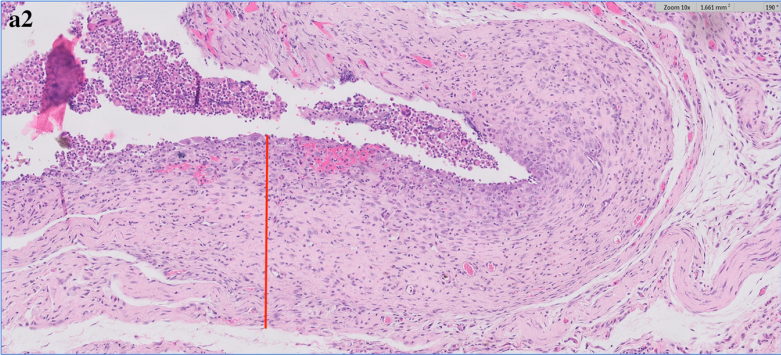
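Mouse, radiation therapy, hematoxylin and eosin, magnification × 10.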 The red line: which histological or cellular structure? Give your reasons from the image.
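The red line runs straight across a dense pink band of tissue, from its inner surface to its outer edge. The band is packed with elongated, purple-staining nuclei in pink matrix. The band borders an empty space on one side.
Hence: capsular thickness.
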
